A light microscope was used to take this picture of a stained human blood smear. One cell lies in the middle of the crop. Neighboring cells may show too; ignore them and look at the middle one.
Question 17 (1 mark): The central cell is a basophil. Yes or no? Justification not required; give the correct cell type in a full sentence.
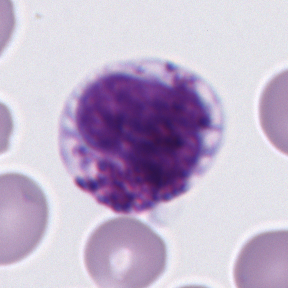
Yes, the crop's central cell is a basophil.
